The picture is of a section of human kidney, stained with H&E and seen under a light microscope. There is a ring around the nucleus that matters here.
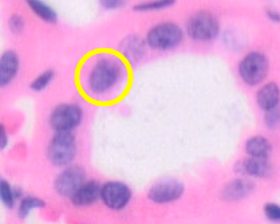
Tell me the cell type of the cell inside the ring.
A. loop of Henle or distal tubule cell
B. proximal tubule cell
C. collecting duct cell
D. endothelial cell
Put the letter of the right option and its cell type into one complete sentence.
Option C gives the correct identity of the cell inside the ring, which is a collecting duct cell.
